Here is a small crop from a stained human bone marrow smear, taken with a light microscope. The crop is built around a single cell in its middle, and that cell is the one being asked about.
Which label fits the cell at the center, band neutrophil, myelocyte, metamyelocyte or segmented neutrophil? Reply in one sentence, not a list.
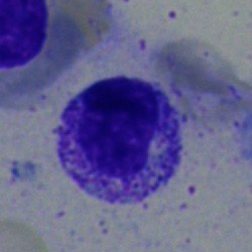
Here the cell in the middle is a myelocyte.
